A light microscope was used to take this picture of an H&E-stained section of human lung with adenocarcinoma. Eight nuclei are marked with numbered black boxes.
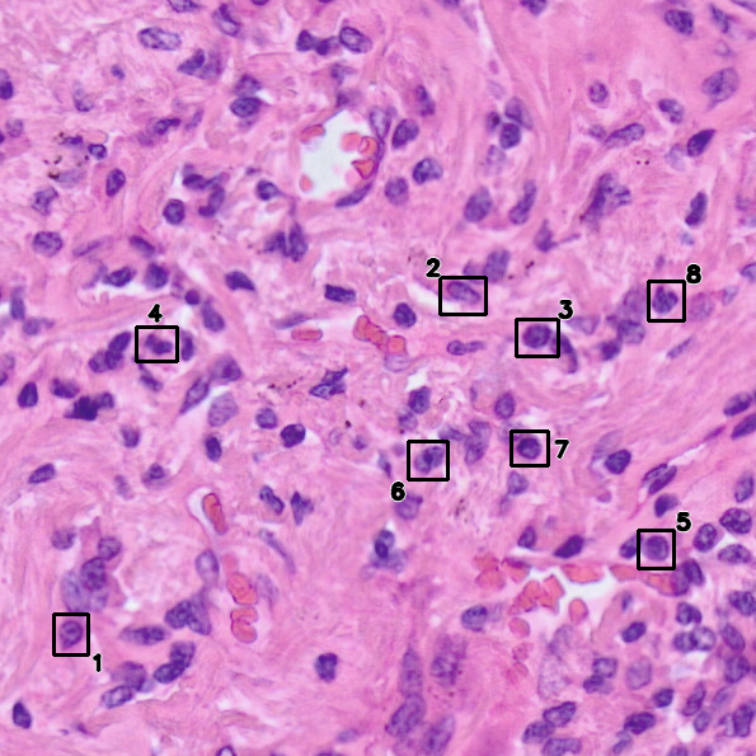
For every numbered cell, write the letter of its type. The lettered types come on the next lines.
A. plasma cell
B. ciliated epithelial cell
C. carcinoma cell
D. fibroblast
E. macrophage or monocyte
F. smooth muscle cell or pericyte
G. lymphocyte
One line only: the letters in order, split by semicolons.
A; A; G; G; G; G; A; G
